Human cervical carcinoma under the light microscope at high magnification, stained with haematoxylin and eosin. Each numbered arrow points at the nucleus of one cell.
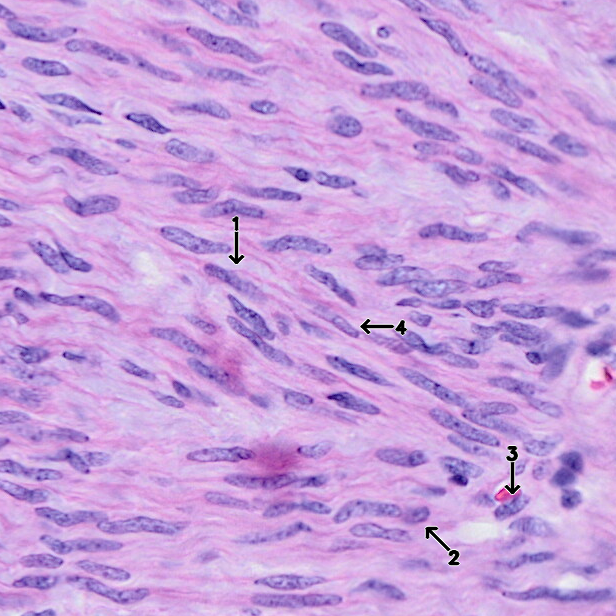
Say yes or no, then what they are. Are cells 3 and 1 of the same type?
No, cell 3 is an endothelial cell, and as for cell 1, it is a smooth muscle cell.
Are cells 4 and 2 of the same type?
Yes, the cells marked 4 and 2 are both smooth muscle cells.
